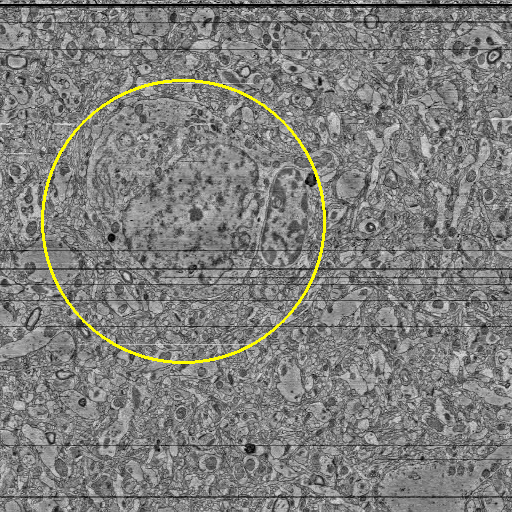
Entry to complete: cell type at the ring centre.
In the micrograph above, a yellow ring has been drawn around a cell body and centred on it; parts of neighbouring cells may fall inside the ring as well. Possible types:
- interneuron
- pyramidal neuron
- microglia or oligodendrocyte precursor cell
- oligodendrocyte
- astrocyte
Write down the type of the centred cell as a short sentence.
The ring is centred on an interneuron.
